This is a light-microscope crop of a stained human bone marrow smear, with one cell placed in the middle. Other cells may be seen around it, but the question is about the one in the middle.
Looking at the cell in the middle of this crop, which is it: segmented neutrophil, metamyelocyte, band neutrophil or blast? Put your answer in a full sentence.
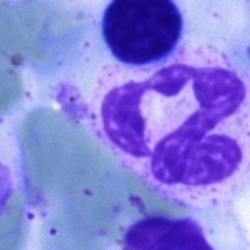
At the center of the crop sits a segmented neutrophil.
